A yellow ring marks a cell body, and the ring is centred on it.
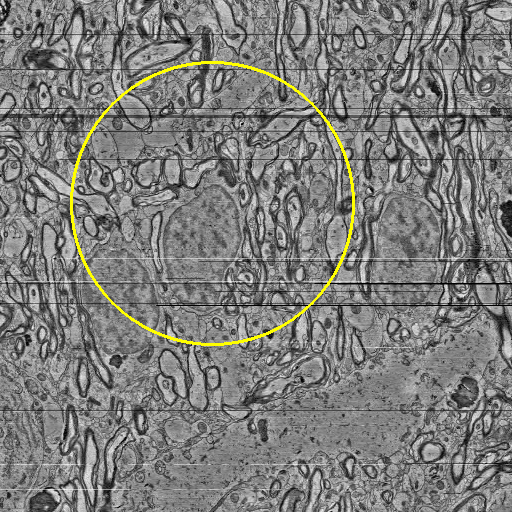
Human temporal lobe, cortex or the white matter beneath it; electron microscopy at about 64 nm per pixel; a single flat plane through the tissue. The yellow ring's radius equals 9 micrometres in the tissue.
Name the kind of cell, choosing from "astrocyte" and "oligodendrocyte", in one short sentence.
The marked cell body belongs to an oligodendrocyte.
